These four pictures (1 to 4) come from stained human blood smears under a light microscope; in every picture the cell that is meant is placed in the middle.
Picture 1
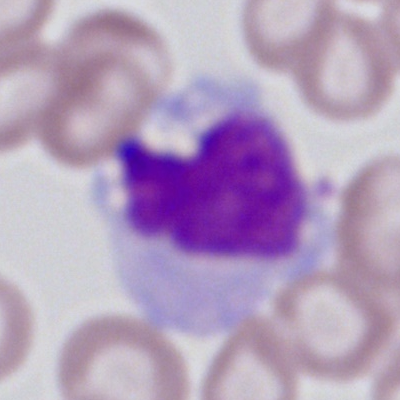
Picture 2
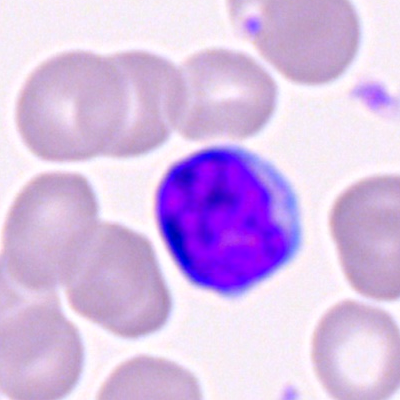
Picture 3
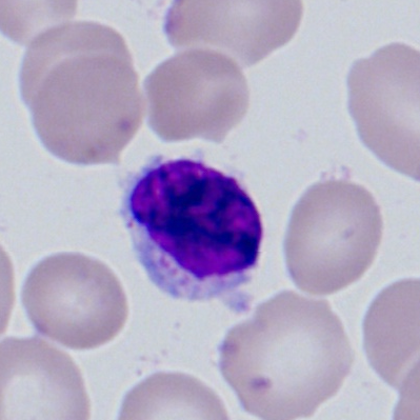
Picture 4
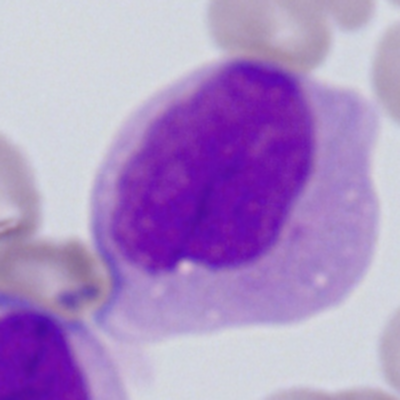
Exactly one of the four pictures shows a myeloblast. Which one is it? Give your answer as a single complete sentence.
It is picture 4 that shows the myeloblast.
